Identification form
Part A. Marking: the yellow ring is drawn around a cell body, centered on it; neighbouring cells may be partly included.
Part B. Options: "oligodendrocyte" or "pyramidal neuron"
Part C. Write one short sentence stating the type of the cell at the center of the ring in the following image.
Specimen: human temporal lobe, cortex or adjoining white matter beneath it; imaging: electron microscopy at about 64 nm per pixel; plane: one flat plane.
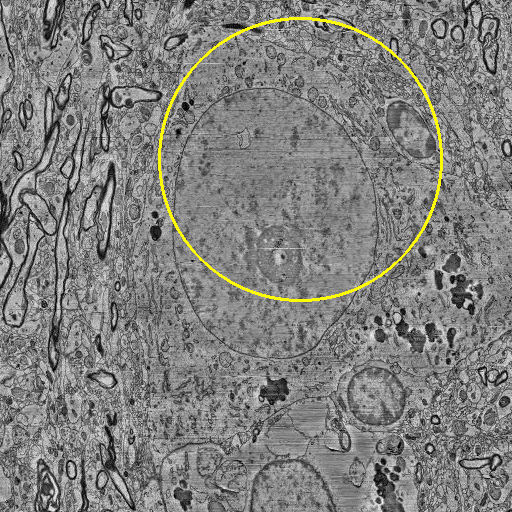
The center of the ring holds a pyramidal neuron.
